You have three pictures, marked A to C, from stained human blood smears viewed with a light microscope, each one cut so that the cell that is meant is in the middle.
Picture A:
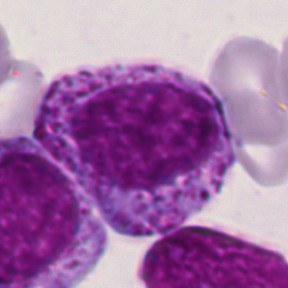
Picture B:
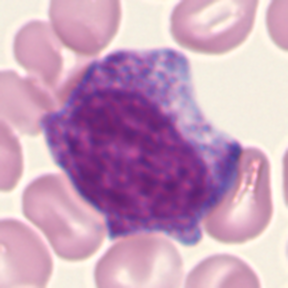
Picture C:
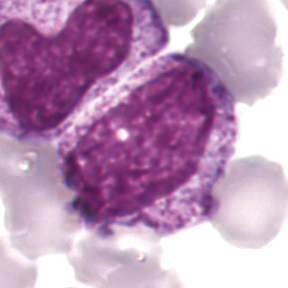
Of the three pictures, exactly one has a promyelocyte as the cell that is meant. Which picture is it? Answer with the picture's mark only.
B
